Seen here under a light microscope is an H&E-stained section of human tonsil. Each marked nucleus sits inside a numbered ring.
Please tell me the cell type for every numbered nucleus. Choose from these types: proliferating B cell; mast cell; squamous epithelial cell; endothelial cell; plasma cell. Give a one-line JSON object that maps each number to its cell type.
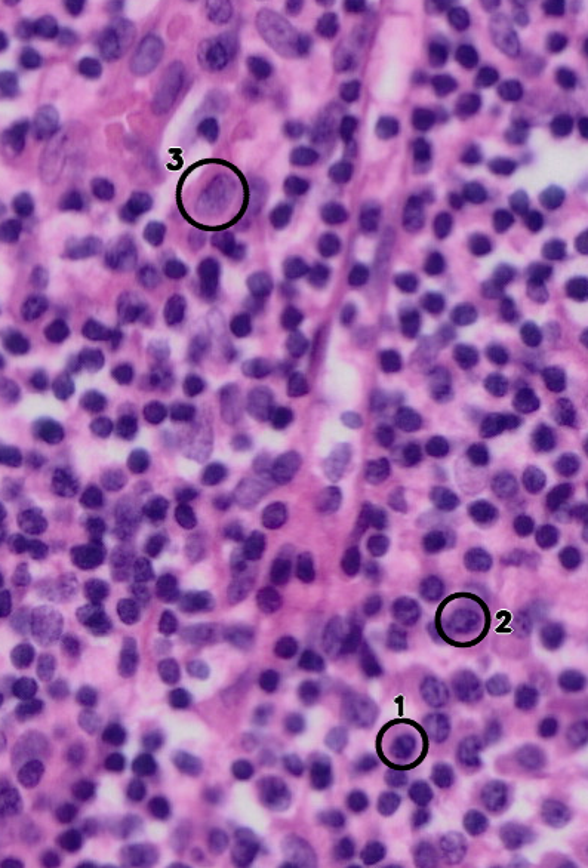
{"1": "plasma cell", "2": "plasma cell", "3": "endothelial cell"}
